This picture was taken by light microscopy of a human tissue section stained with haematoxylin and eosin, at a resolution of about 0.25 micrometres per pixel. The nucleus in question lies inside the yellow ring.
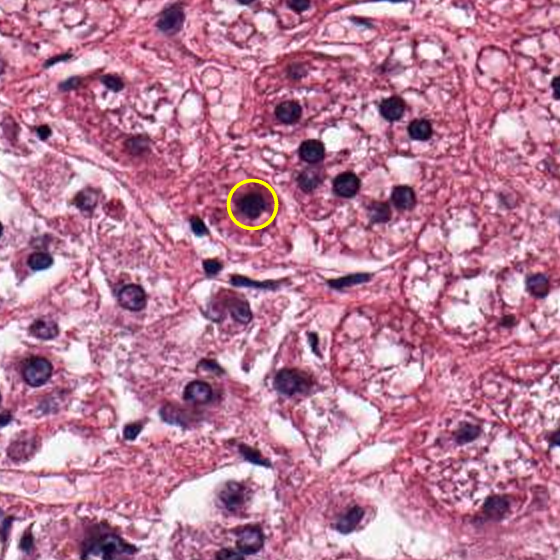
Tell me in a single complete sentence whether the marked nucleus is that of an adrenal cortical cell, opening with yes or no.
Yes, the nucleus shown with the mark belongs to an adrenal cortical cell.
